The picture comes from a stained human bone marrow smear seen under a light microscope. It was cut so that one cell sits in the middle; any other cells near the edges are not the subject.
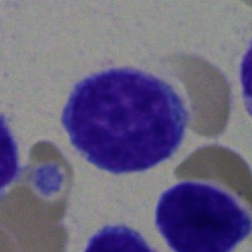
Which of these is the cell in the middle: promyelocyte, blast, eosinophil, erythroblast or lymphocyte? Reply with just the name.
lymphocyte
